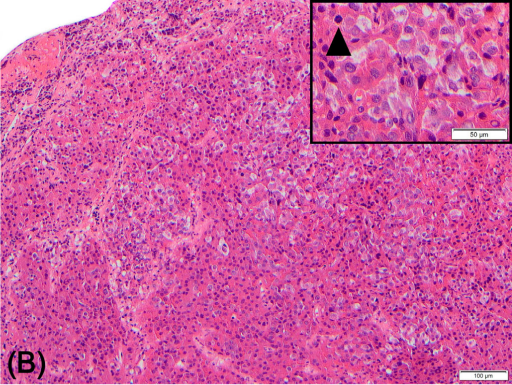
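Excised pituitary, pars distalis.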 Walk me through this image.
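This is a densely cellular neuroendocrine neoplasm made of sheets of polygonal cells with abundant pink cytoplasm. The nuclei vary moderately in size and shape, and in the enlarged inset a cell with dark condensed chromatin marks a mitotic figure.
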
